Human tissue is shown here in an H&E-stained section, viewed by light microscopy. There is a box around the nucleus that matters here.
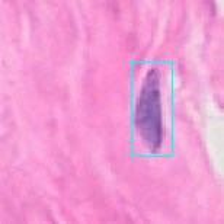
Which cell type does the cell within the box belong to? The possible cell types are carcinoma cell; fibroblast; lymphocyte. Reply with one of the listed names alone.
fibroblast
